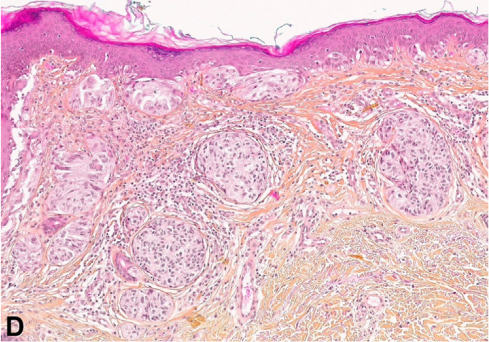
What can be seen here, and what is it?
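Skin with an intact epidermis above and, in the superficial dermis, several rounded nests of pale-staining melanocytes. The nests are set in pink collagenous stroma with scattered small dark inflammatory cells between them.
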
